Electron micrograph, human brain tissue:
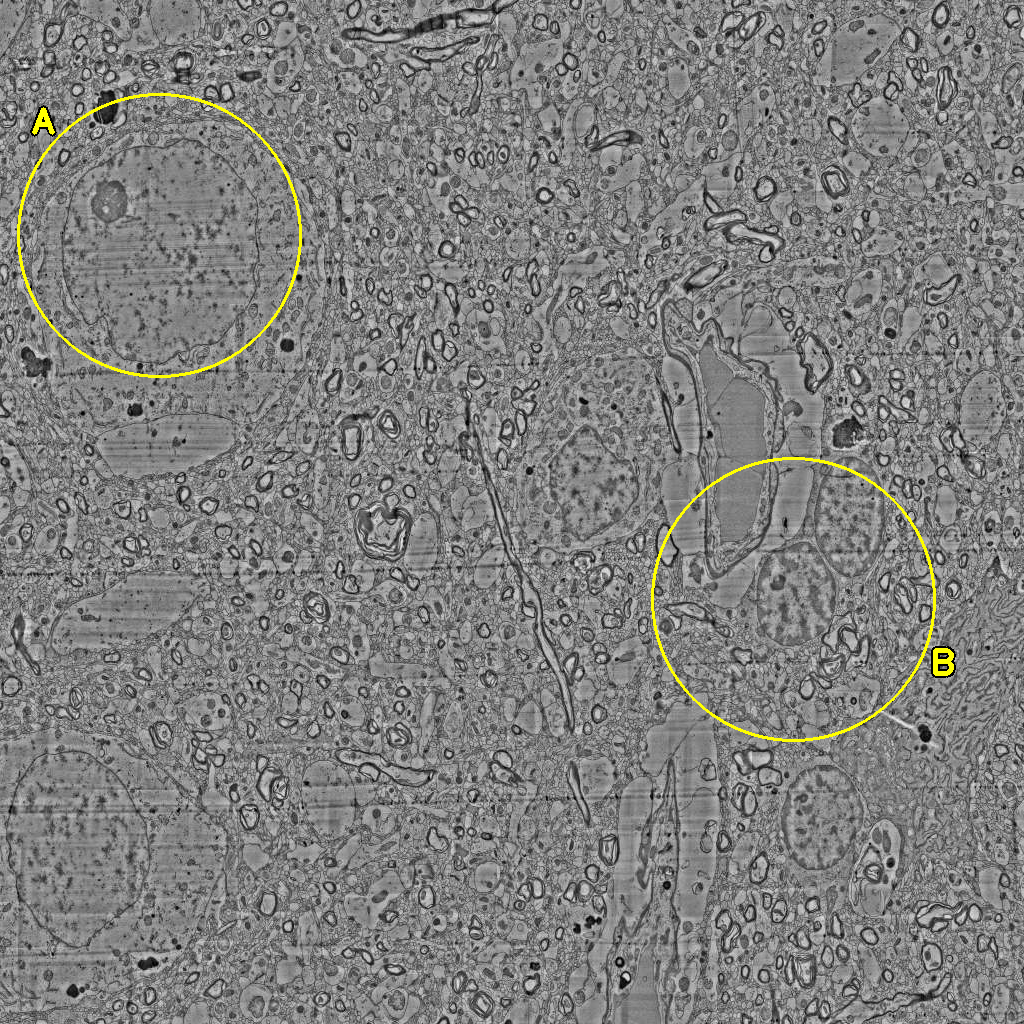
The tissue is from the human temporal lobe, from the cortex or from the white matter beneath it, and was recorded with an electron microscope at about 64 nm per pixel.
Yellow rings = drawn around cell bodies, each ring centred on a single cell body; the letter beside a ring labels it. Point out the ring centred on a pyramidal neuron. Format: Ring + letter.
Ring A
